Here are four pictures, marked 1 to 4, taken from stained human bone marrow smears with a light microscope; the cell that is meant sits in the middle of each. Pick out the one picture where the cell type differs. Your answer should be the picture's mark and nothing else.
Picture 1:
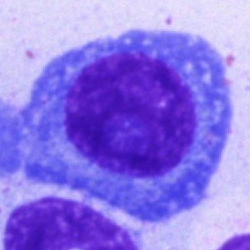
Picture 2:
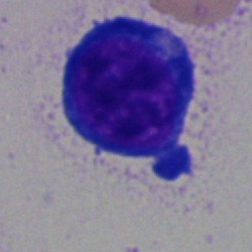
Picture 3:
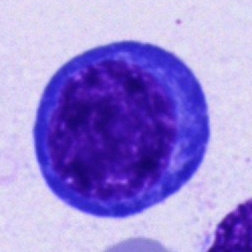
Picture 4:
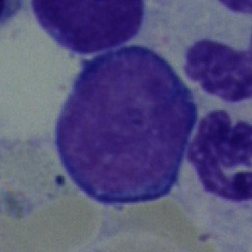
1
